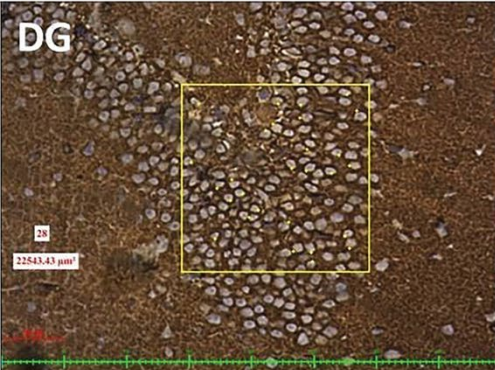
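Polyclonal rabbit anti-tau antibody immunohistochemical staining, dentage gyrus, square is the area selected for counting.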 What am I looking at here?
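This is brain tissue with a dense band of closely packed small neurons filling the centre of the field, their rounded pale blue-grey nuclei lying almost touching one another. Around this crowded cell layer the background is a brown, finely granular neuropil in which only a few scattered cell bodies are seen.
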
